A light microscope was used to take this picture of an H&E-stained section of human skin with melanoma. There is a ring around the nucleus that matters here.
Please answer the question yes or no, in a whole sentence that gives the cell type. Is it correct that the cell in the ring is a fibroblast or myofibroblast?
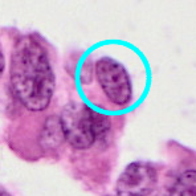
No, the cell in the ring is classed as a melanoma cell, not as a fibroblast or myofibroblast.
